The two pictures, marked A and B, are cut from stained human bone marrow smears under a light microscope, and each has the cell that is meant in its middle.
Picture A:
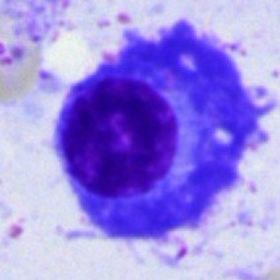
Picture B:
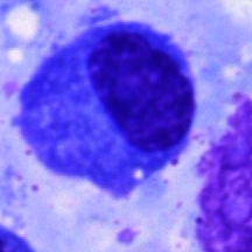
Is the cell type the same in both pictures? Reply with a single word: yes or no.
yes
